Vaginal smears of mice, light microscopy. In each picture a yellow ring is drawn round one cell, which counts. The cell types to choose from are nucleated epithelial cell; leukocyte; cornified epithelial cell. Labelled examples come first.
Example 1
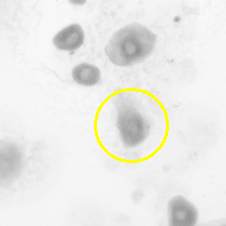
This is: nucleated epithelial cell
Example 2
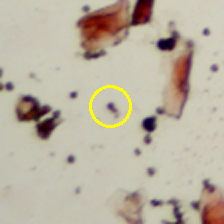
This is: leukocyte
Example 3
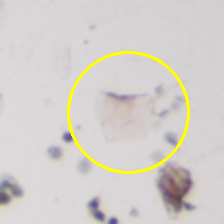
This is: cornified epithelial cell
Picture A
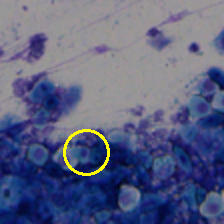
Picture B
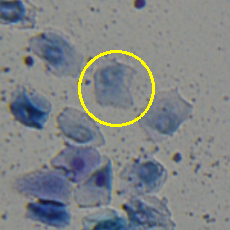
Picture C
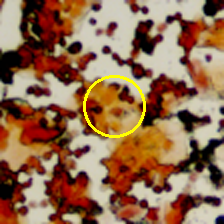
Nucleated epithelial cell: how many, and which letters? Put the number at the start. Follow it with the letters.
2: A, C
